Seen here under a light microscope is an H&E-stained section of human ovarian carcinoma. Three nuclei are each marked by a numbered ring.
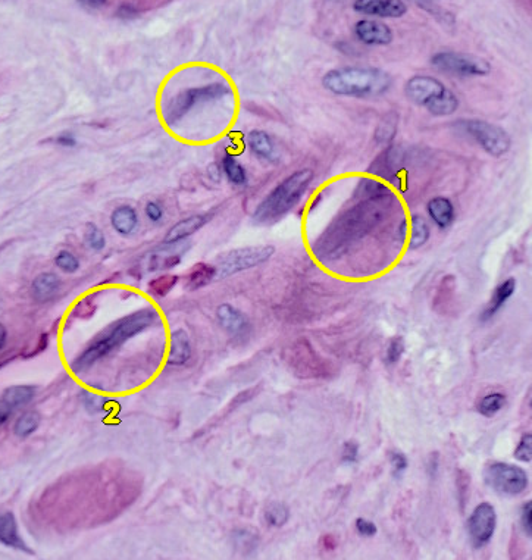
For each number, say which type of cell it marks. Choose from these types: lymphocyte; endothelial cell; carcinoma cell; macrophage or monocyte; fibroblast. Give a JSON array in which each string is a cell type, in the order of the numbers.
["endothelial cell", "endothelial cell", "fibroblast"]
